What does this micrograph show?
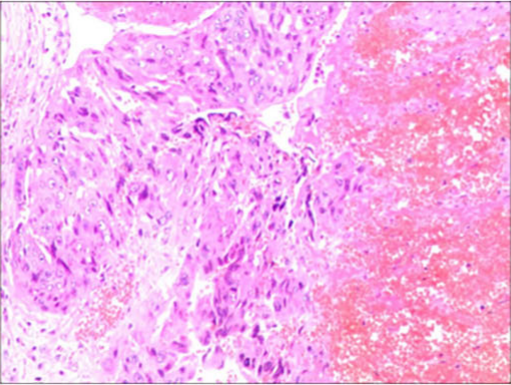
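Malignant tumor tissue made of nests and sheets of large, pleomorphic cells with enlarged, irregular, darkly stained nuclei and pink cytoplasm. Some cells are elongated and spindle-like, others rounded, and they are separated by thin strands of pale stroma. A large pool of free red blood cells fills the right part of the field beside the tumor nests, and smaller collections of red cells lie within the tissue on the left.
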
